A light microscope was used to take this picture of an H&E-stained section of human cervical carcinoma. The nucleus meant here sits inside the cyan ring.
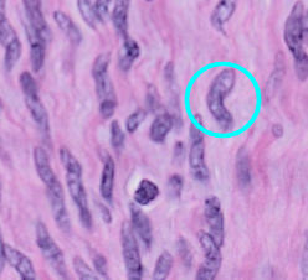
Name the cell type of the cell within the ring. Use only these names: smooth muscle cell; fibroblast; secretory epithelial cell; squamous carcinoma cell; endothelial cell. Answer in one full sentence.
On this particular slide, the cell within the ring is a smooth muscle cell.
